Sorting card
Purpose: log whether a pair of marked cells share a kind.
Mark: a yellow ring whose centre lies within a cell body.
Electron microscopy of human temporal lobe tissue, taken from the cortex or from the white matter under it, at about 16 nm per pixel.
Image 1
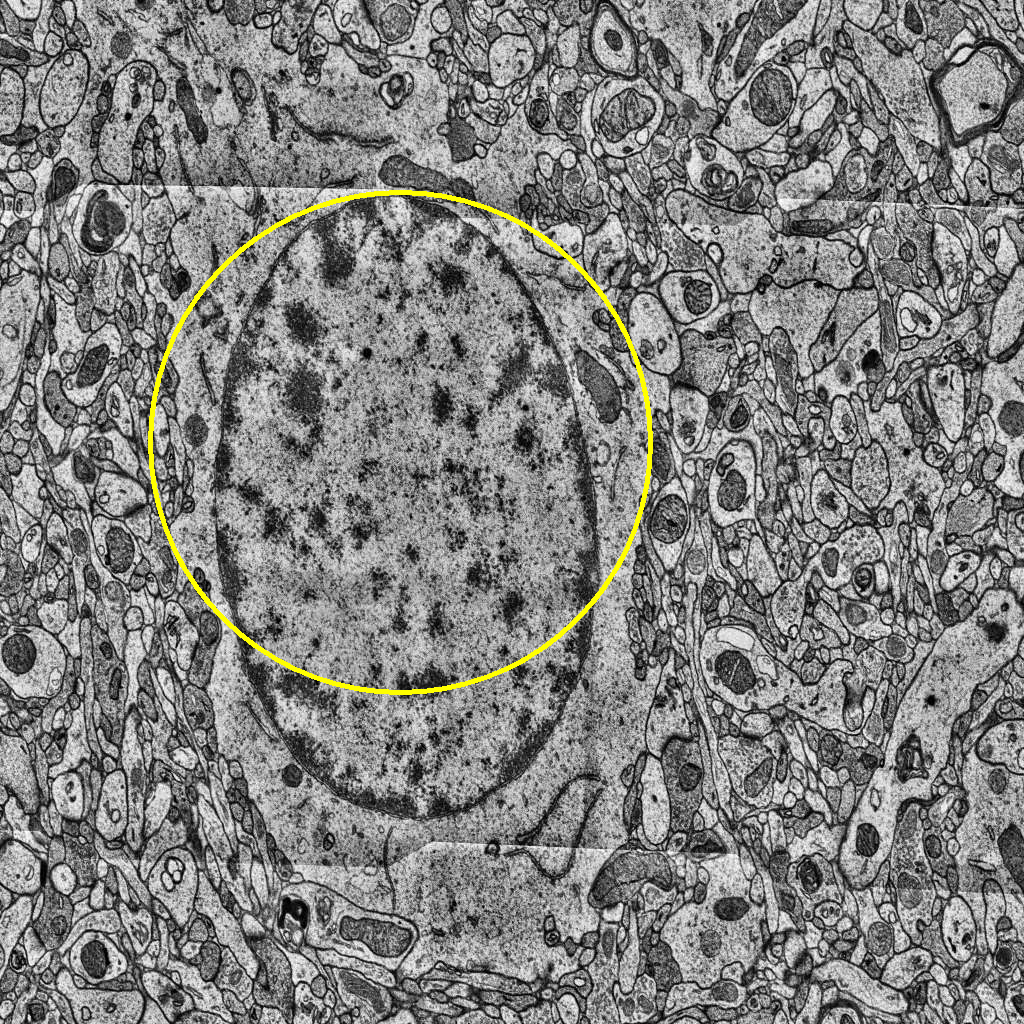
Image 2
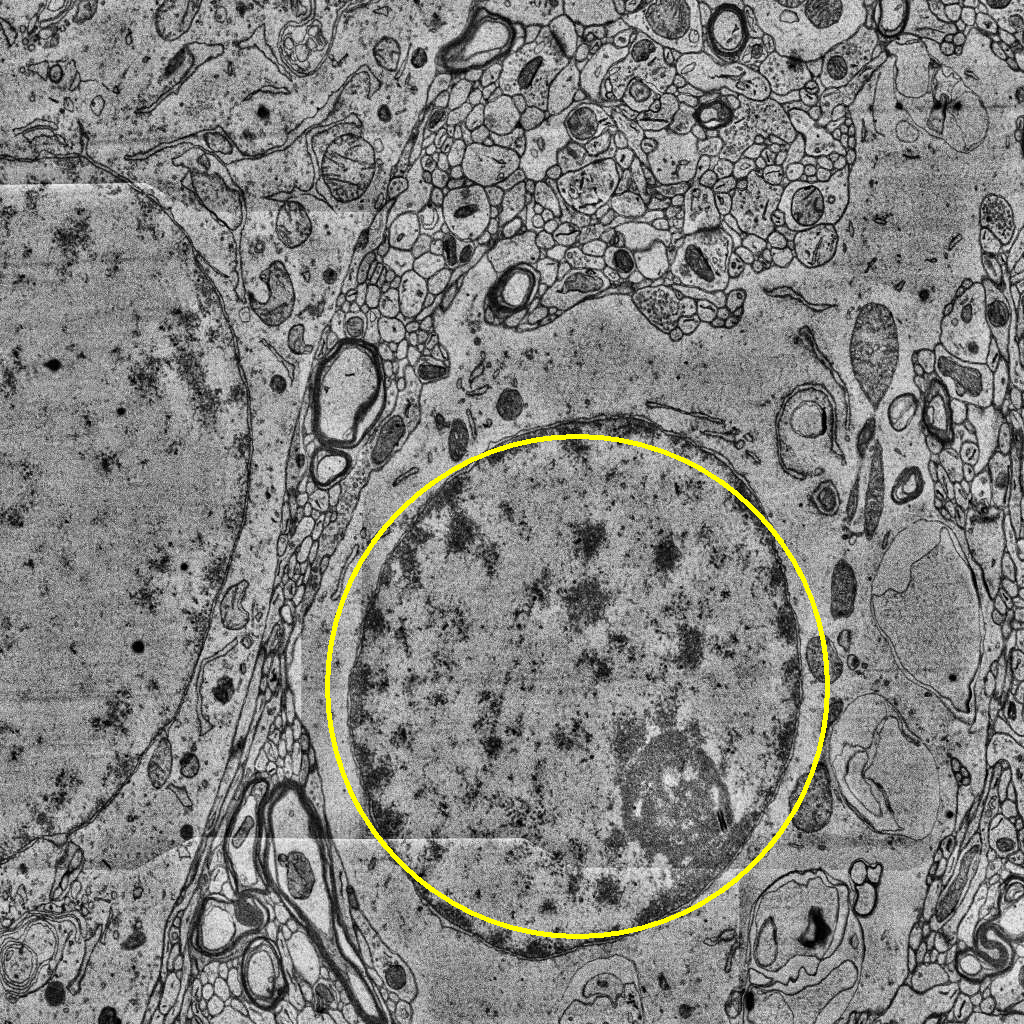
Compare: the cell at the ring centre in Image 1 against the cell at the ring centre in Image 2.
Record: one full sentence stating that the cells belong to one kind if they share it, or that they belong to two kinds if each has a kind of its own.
Across Images 1 and 2, the two cells at the ring centres belong to one kind.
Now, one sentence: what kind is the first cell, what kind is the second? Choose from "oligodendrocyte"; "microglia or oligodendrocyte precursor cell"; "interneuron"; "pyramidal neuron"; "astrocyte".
The second cell is an astrocyte, just as the first is.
